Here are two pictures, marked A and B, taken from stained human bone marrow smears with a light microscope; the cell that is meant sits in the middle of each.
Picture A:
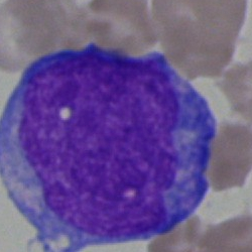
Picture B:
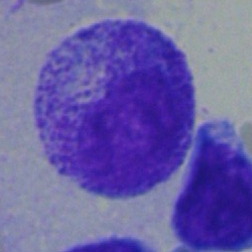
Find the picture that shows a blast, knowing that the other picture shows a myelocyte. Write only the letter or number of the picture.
A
